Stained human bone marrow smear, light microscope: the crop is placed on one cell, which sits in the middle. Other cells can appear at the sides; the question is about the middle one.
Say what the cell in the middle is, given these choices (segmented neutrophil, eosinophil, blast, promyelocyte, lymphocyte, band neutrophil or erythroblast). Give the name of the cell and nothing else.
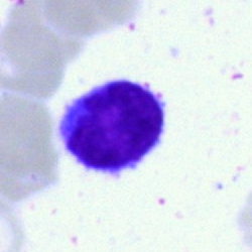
lymphocyte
